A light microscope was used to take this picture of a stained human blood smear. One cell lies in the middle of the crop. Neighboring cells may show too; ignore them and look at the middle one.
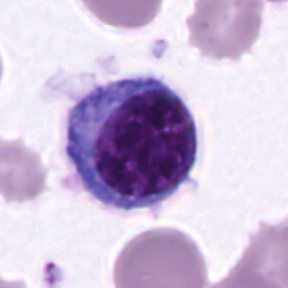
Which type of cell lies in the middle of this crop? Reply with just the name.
plasma cell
